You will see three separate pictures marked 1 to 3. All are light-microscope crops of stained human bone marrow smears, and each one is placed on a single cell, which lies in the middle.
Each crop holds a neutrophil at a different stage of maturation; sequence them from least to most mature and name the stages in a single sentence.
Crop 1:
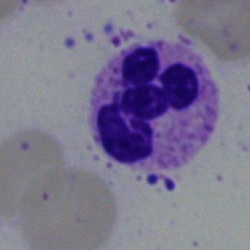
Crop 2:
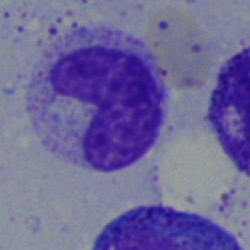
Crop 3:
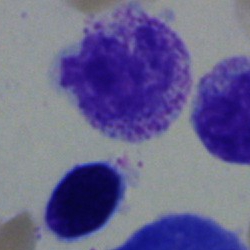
By increasing maturity, the cells should be ordered crop 2 (a metamyelocyte), crop 3 (a band neutrophil) and crop 1 (a segmented neutrophil).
